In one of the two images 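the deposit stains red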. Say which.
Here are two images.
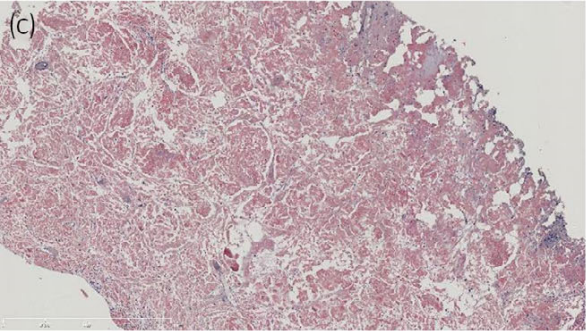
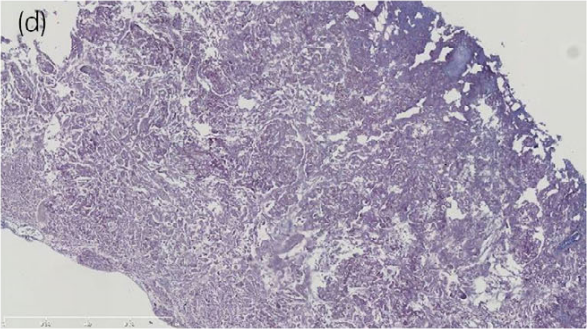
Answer: the first image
